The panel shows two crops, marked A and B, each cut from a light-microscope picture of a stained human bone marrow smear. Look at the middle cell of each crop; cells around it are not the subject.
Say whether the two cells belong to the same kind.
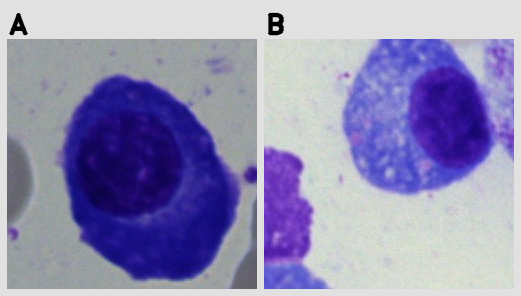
yes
